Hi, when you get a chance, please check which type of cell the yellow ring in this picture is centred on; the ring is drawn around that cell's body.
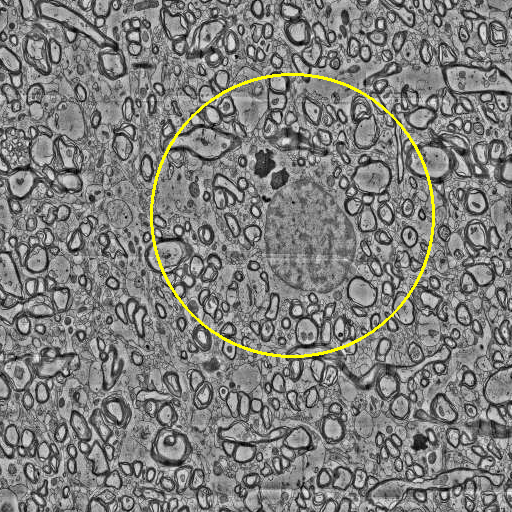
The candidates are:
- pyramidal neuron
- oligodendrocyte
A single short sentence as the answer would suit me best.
The ring is drawn around the body of an oligodendrocyte.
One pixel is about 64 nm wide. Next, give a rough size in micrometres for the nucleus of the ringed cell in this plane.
The nucleus works out at approximately 7 by 6 micrometres in this plane.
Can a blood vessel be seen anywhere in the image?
No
